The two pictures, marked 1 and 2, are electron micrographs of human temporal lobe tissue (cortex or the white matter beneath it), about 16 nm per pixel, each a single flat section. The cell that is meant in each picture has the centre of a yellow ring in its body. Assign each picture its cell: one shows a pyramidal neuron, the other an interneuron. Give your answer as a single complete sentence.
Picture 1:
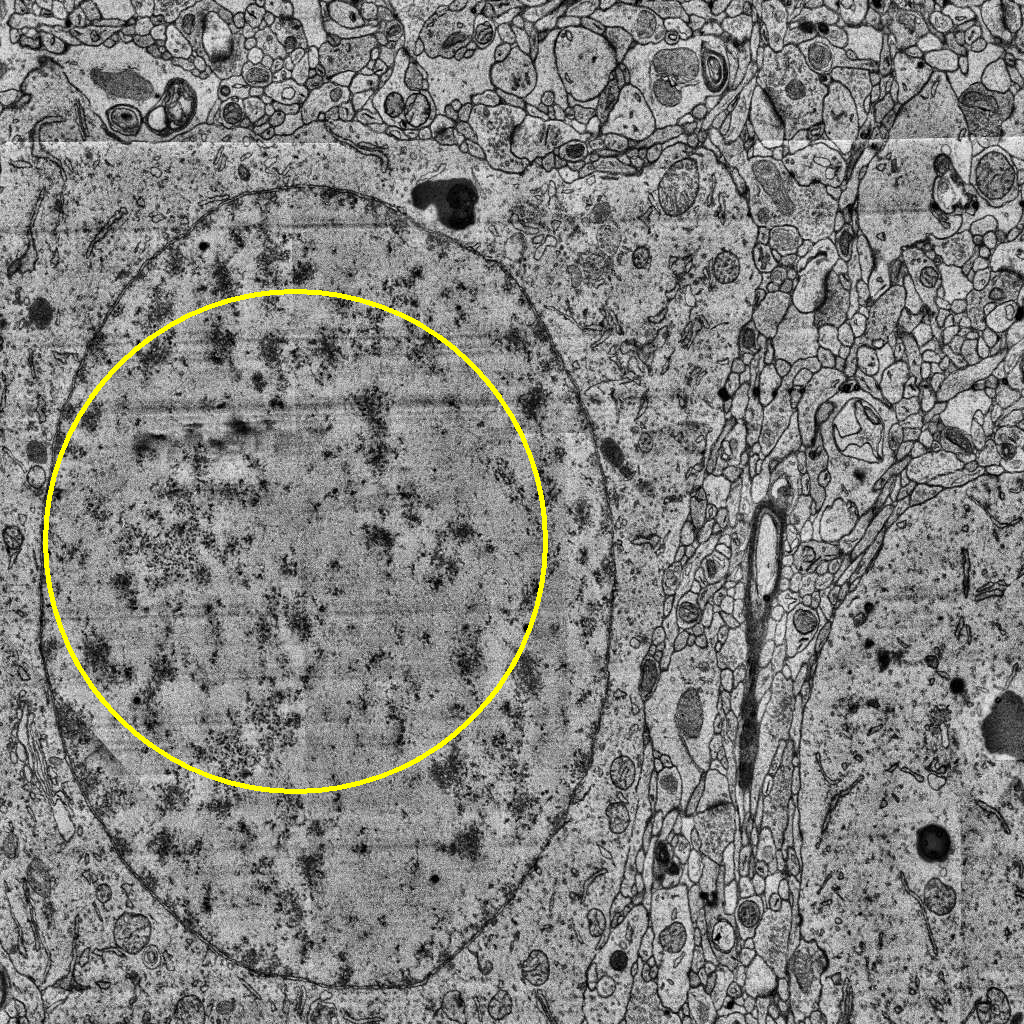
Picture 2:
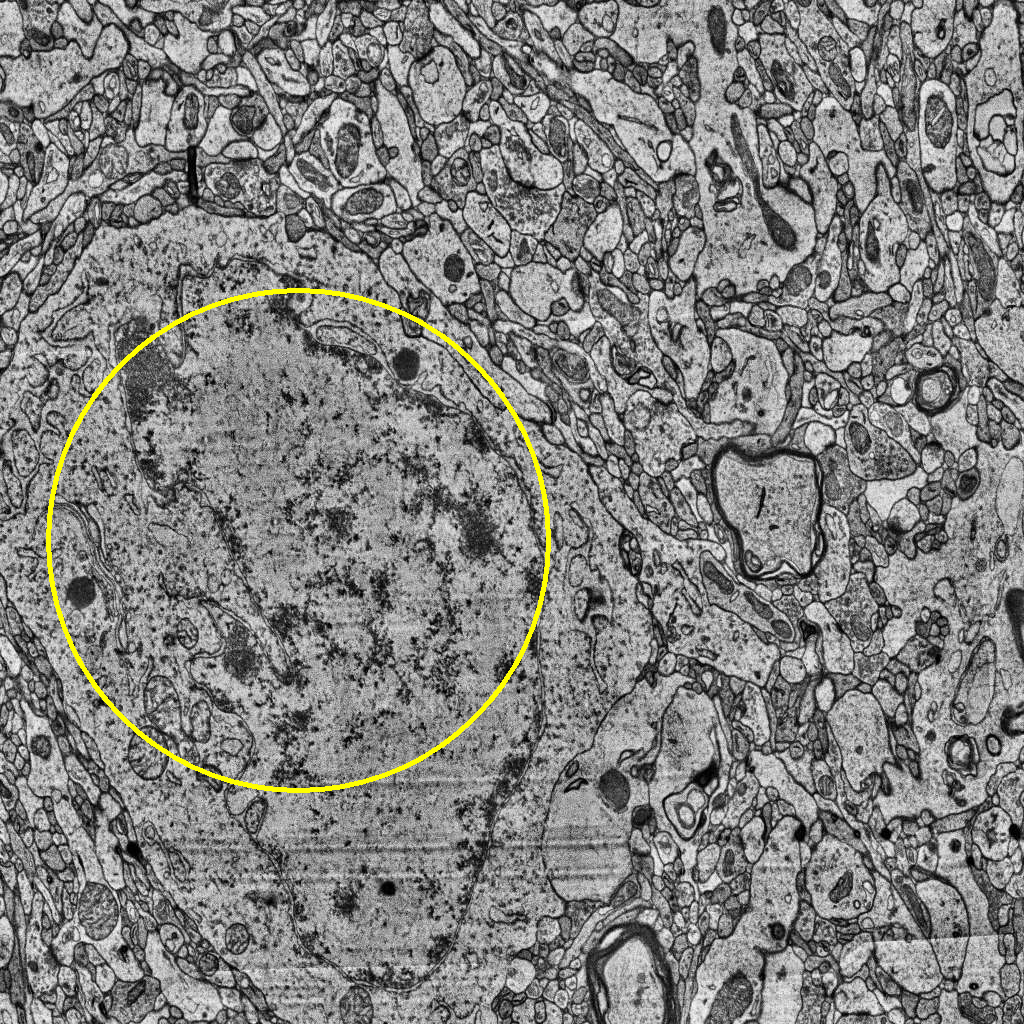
Picture 1 is of a pyramidal neuron, and picture 2 is of an interneuron.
